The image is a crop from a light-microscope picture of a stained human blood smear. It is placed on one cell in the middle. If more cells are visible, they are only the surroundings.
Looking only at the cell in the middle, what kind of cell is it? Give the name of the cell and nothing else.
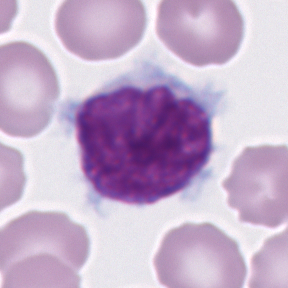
hairy cell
